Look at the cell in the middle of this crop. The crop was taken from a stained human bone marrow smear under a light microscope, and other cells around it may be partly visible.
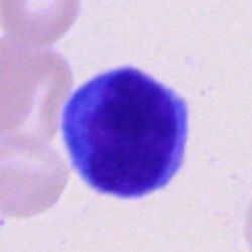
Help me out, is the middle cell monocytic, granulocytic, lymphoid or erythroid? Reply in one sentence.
It is of the monocytic lineage that the central cell is a member.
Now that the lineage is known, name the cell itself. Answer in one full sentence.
For this crop, the central cell is a monocyte.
